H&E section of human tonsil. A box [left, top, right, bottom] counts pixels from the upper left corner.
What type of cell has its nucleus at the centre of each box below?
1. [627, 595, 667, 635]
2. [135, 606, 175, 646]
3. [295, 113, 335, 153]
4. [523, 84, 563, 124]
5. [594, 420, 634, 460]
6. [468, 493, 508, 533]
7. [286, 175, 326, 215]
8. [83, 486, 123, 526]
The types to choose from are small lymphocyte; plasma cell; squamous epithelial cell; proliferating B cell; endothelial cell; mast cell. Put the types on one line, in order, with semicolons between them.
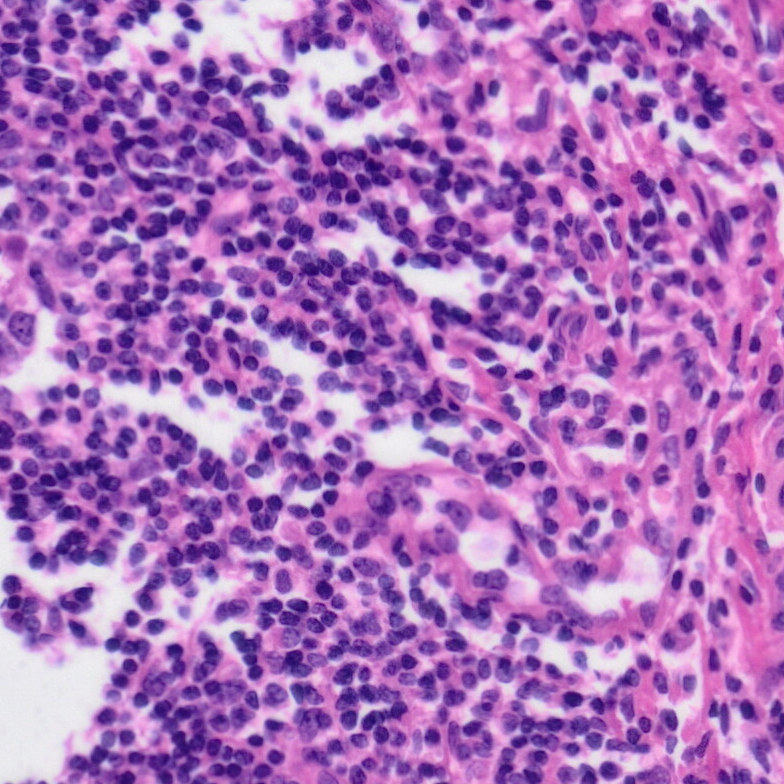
endothelial cell; small lymphocyte; small lymphocyte; endothelial cell; plasma cell; endothelial cell; small lymphocyte; small lymphocyte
